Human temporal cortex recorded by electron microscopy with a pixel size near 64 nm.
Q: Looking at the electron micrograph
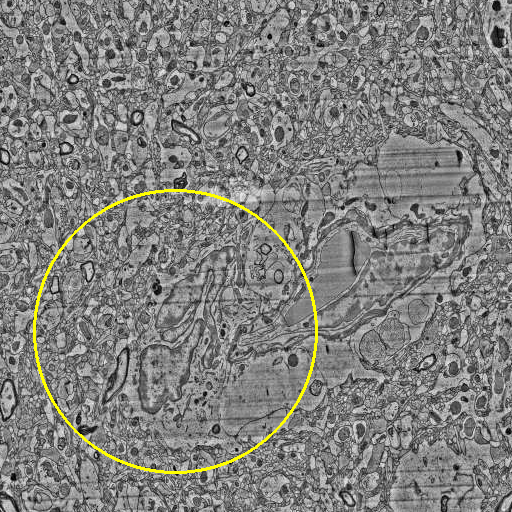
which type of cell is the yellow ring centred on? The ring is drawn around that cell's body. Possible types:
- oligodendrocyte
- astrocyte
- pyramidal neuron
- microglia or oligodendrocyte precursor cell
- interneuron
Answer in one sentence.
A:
The yellow ring is centred on a microglial cell or oligodendrocyte precursor cell.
